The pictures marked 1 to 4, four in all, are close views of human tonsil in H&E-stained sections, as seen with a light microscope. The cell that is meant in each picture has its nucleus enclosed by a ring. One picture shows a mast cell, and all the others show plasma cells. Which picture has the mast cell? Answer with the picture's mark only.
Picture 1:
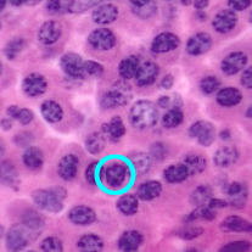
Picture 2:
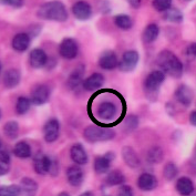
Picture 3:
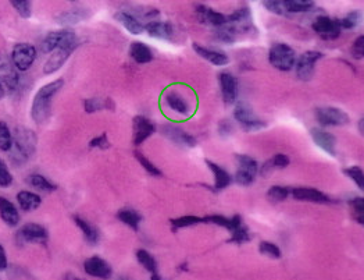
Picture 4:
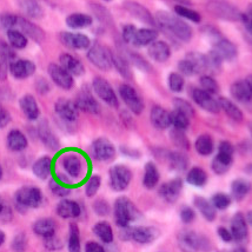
3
